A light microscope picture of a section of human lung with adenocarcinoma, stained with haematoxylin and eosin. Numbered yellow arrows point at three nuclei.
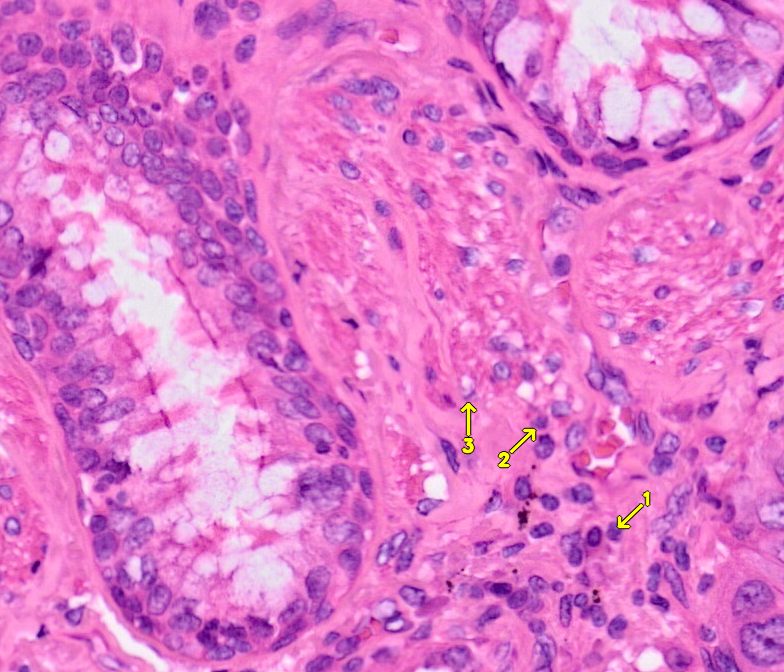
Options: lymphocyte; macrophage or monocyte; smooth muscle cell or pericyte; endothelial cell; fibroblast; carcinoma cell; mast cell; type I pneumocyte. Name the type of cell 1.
lymphocyte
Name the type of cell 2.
smooth muscle cell or pericyte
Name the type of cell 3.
smooth muscle cell or pericyte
